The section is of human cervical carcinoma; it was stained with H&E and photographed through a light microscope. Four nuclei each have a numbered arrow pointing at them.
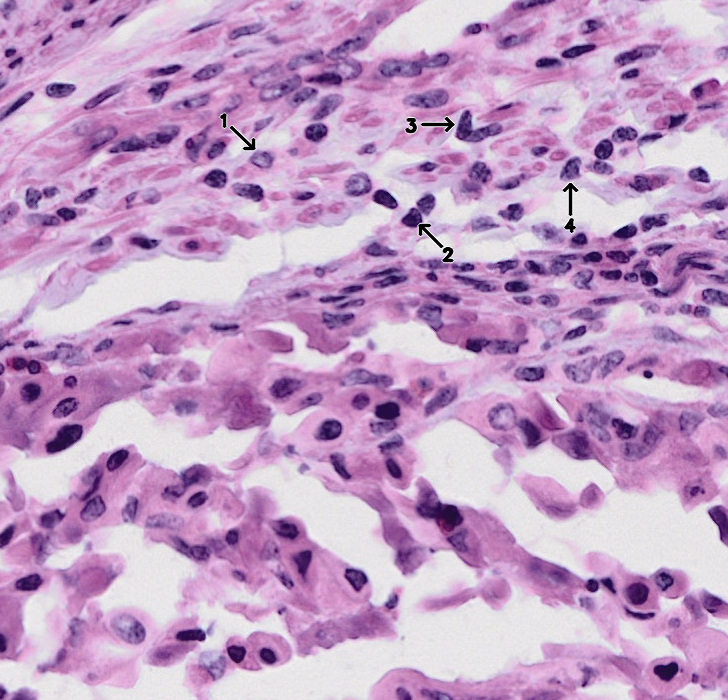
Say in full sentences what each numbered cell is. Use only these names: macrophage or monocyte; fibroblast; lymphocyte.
Cell 1 is a macrophage or monocyte. Cells 2, 3 and 4 are lymphocytes.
